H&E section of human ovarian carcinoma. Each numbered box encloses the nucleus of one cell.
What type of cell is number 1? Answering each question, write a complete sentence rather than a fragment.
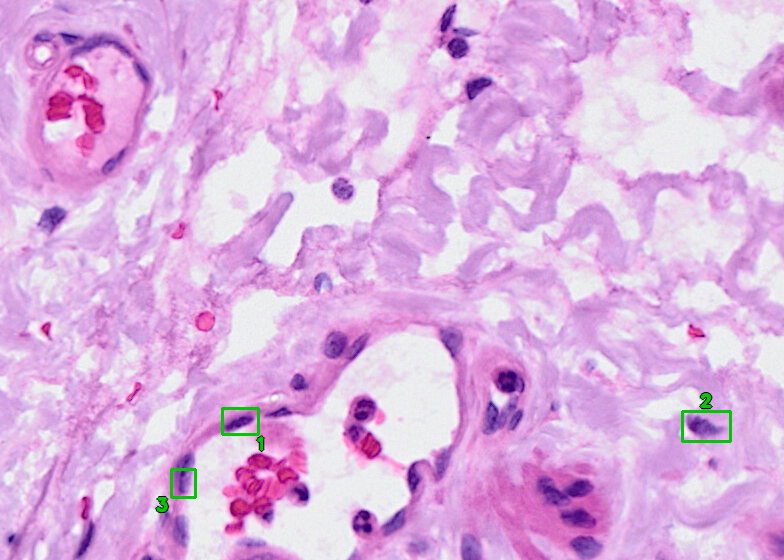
The cell assigned the number 1 is an endothelial cell.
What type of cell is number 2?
The cell referred to as 2 is a fibroblast.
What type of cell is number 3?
The cell pointed out by number 3 is an endothelial cell.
